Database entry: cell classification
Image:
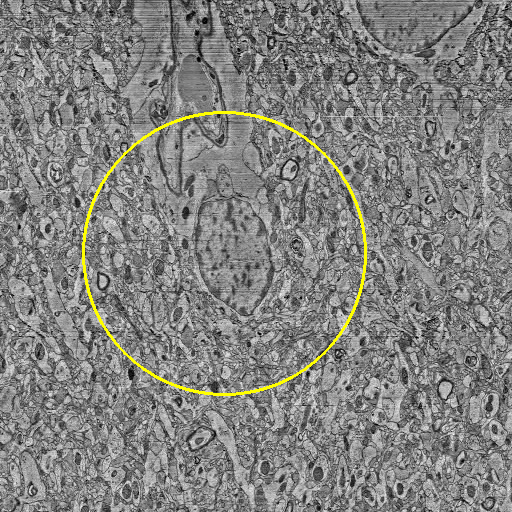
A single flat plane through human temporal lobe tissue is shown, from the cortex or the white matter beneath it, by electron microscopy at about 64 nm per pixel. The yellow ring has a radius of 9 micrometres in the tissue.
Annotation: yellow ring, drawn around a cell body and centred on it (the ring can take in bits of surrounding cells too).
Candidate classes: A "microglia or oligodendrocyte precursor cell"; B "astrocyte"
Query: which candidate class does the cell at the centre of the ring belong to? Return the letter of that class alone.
A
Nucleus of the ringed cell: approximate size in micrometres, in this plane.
About 7 by 5 micrometers for the nucleus, in this plane.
